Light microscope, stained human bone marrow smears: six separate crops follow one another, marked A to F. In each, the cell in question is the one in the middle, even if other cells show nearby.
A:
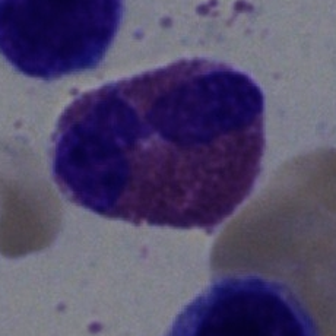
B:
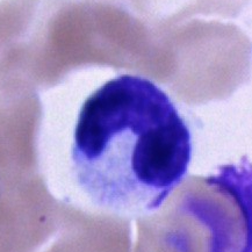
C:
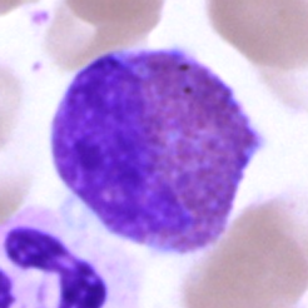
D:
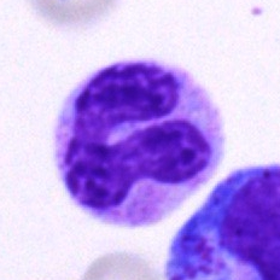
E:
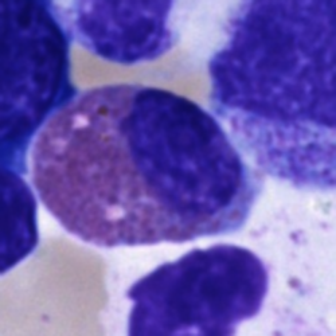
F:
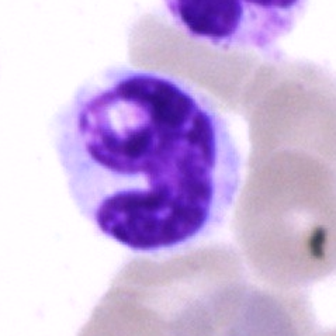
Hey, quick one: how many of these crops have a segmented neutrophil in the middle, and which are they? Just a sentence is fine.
Exactly one of these crops, crop F, has a segmented neutrophil in the middle.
